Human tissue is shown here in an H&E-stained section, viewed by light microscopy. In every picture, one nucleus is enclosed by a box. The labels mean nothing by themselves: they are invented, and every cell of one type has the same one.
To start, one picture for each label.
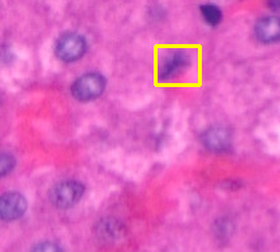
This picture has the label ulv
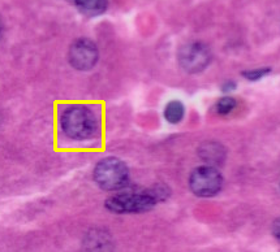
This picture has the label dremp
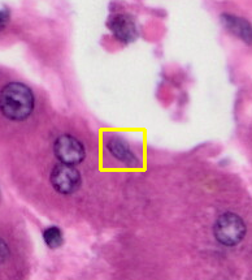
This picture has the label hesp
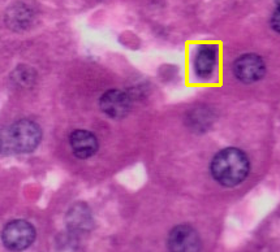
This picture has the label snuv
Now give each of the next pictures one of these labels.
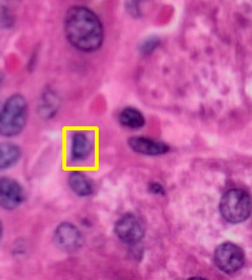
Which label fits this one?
hesp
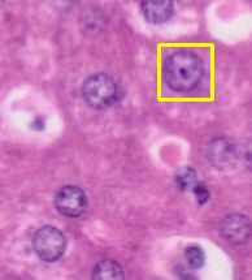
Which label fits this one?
dremp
